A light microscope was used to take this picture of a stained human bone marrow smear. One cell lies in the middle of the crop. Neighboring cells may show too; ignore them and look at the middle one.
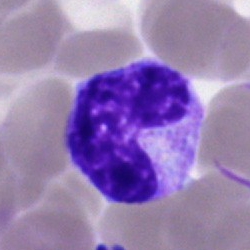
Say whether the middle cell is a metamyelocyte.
yes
